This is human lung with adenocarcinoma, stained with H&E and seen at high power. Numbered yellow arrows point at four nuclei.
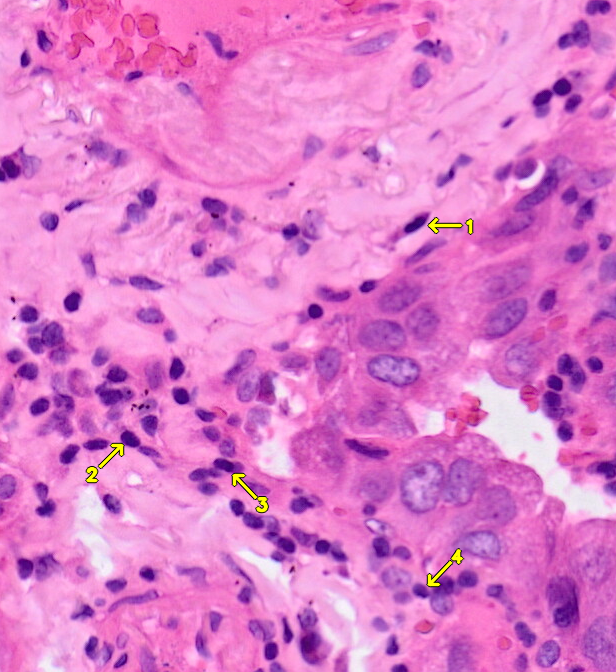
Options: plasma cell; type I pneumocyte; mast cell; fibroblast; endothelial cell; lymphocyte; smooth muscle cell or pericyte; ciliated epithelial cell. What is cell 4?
lymphocyte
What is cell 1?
plasma cell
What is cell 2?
lymphocyte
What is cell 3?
lymphocyte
